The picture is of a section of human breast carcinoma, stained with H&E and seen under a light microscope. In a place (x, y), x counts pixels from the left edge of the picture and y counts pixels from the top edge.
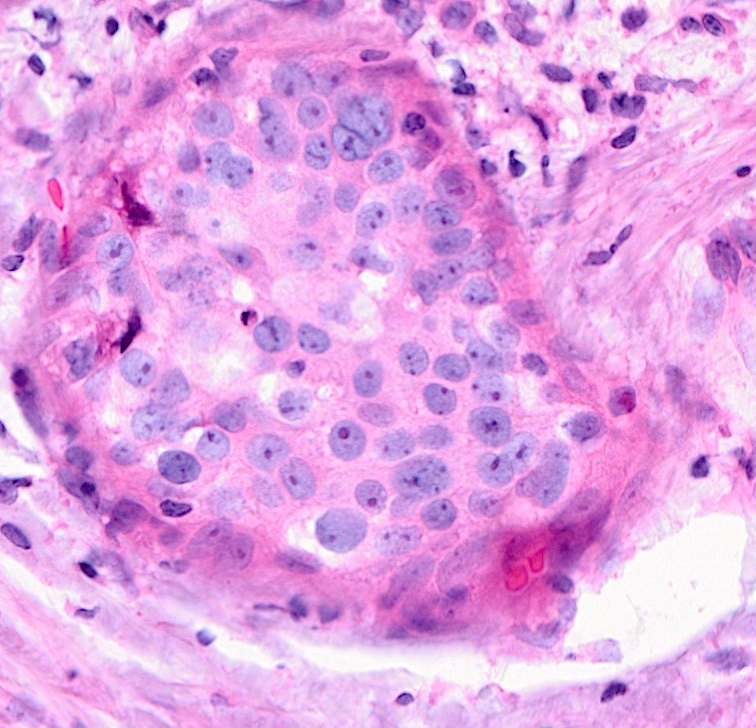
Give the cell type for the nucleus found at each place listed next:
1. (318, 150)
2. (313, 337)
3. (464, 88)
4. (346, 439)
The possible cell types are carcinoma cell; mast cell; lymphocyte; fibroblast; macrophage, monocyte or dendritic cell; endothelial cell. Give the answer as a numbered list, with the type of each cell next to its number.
1. carcinoma cell
2. carcinoma cell
3. lymphocyte
4. carcinoma cell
